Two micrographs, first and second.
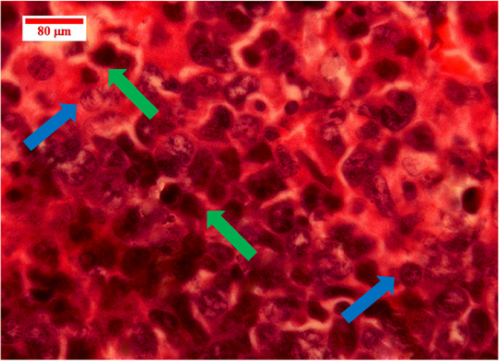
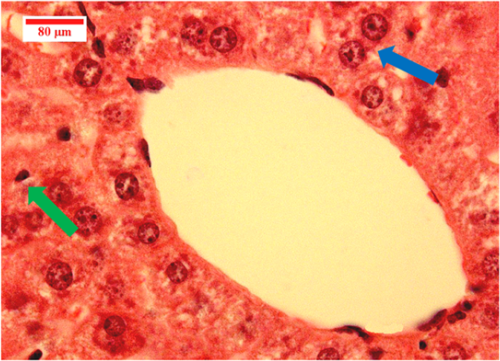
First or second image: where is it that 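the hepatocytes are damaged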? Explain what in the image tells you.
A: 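First image: crowded, disorganised cells with dark, irregular nuclei and lost cord pattern. Second image: orderly polygonal hepatocytes with pale pink cytoplasm and round nuclei around a vein. That points to this answer: the first image.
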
